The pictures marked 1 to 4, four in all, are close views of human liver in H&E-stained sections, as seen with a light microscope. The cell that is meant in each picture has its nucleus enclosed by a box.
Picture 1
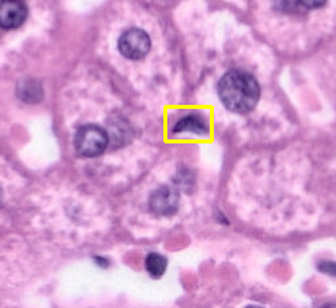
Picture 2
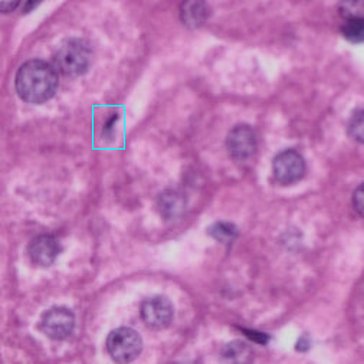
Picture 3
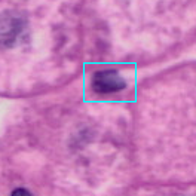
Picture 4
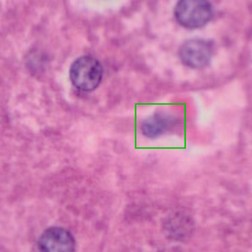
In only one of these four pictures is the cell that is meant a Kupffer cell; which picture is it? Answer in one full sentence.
It is picture 4 that shows the Kupffer cell.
